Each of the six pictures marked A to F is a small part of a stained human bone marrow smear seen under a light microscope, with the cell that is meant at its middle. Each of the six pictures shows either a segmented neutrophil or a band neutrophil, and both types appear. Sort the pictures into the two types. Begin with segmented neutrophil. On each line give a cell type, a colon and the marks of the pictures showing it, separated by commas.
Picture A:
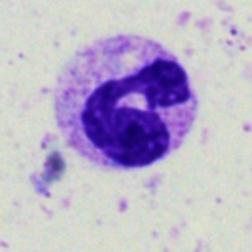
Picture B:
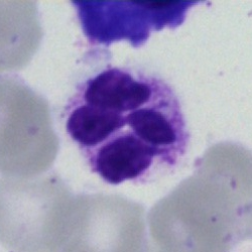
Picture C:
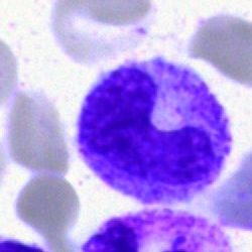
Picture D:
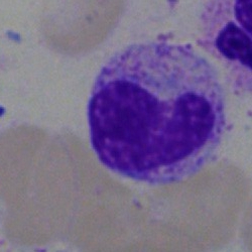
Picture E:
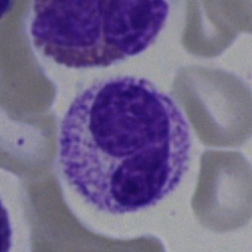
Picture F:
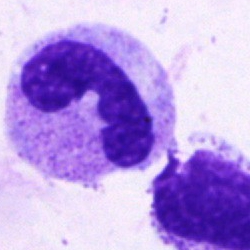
segmented neutrophil: A, B, F
band neutrophil: C, D, E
